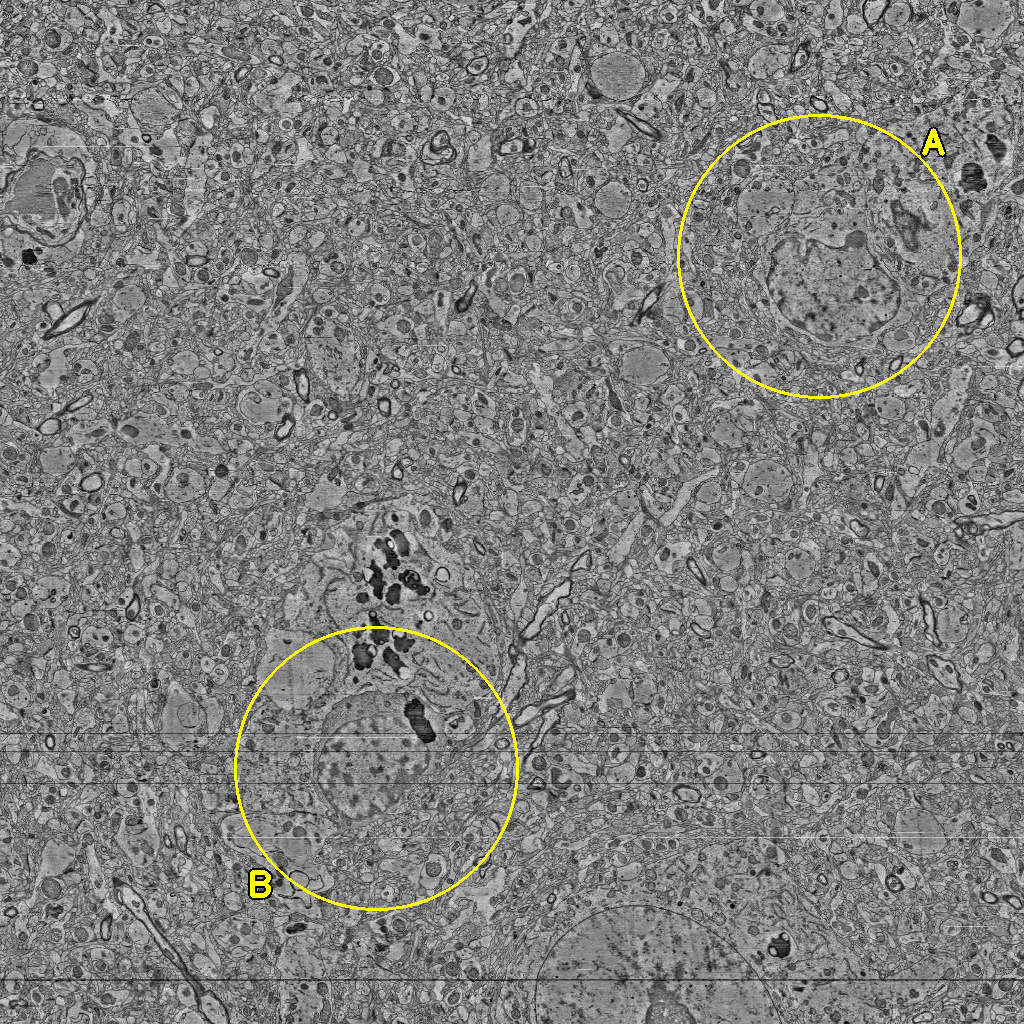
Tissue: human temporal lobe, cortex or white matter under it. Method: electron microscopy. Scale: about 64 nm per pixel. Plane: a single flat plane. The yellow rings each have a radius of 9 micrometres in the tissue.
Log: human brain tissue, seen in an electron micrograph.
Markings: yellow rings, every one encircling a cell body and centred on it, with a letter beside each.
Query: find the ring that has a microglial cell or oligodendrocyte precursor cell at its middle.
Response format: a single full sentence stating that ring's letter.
The letter A marks the ring centred on the cell asked for in the image.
